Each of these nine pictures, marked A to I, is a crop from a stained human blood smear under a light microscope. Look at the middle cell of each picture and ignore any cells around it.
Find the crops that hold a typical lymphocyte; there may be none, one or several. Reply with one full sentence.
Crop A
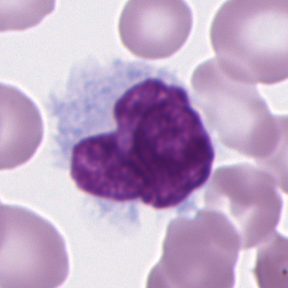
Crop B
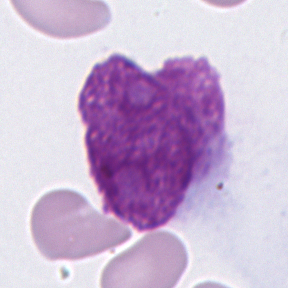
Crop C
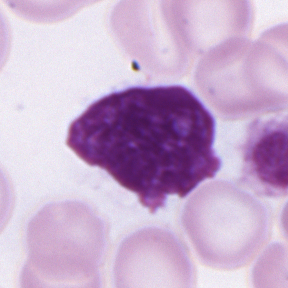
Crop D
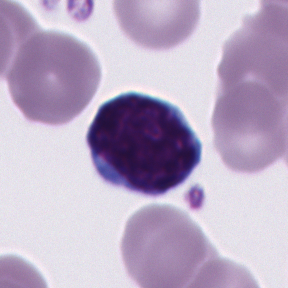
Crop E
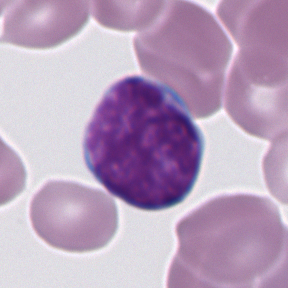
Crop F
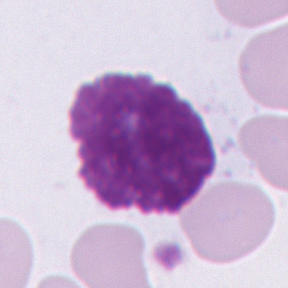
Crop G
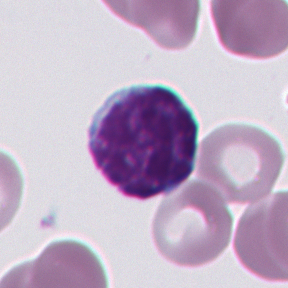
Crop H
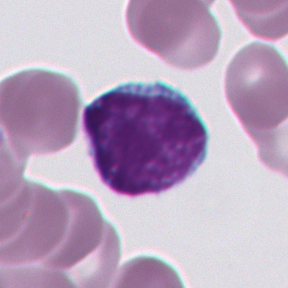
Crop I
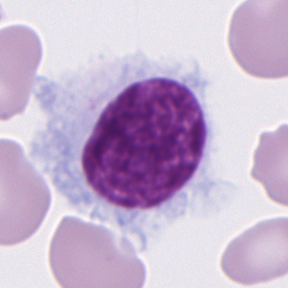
In this set, crops D, E, G and H show typical lymphocytes.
